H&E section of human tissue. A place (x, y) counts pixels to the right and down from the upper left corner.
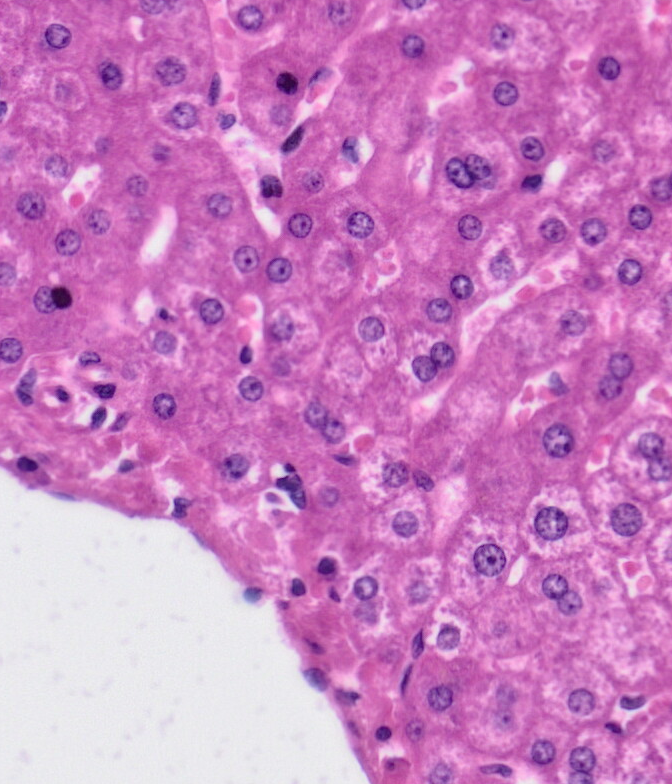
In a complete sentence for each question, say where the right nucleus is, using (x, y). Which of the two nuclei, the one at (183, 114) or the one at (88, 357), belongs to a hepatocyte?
The one nucleus of the two that belongs to a hepatocyte is at (183, 114).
